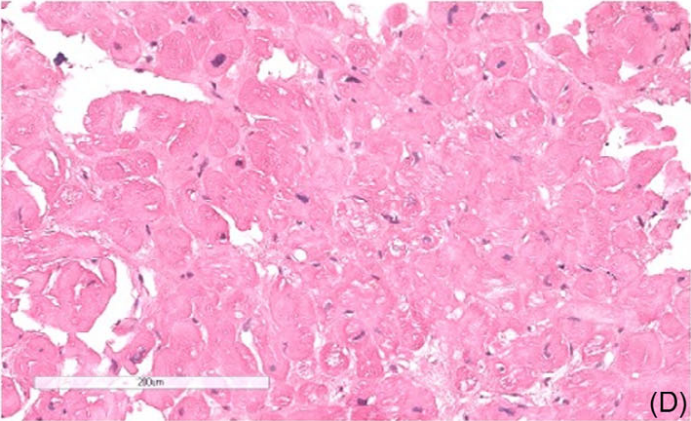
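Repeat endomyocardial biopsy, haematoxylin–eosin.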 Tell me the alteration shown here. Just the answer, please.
vacuolization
